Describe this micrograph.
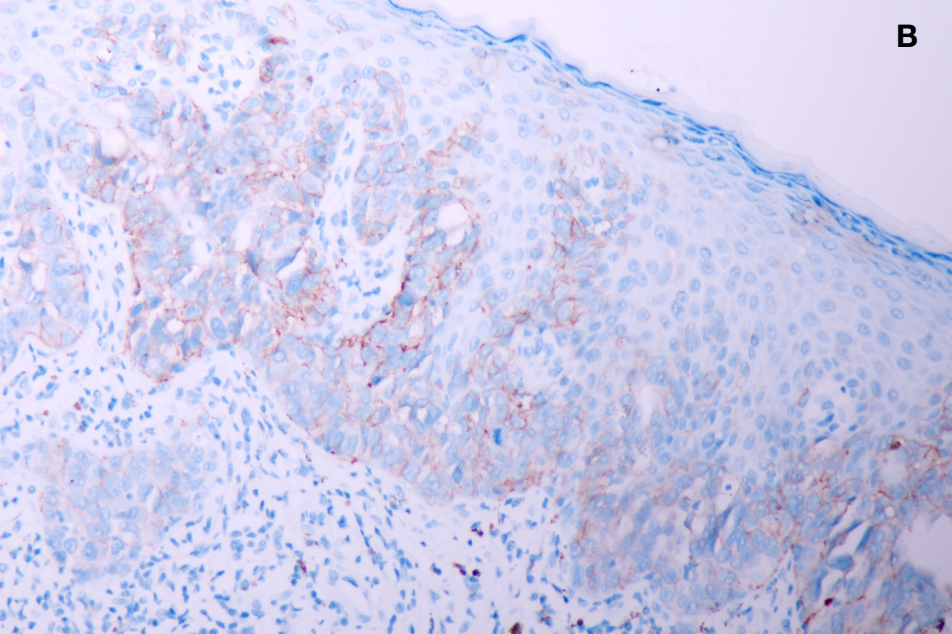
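This is skin epidermis with a blue counterstain, in which clusters of large cells in the lower epidermis are outlined by fine brown staining along their cell membranes. The flattened upper layers of keratinocytes and the dermal cells below stay blue and unstained. A few small dark brown granules lie scattered in the dermis.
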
